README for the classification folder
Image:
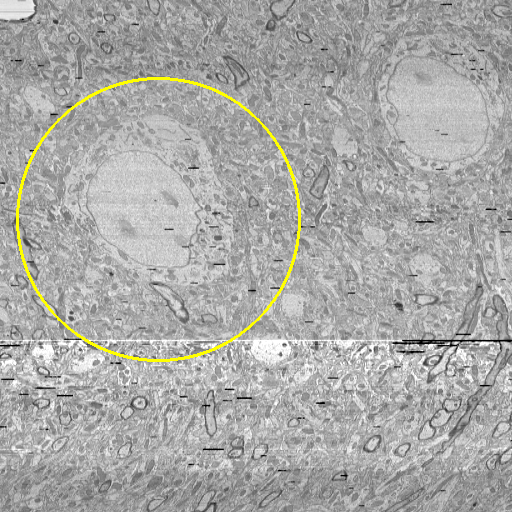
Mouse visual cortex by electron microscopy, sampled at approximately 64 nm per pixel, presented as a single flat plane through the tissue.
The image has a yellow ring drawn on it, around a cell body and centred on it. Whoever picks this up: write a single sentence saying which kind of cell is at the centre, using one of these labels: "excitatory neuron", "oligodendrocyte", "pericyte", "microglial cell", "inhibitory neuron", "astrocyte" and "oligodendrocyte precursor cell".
This cell body is that of an excitatory neuron.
